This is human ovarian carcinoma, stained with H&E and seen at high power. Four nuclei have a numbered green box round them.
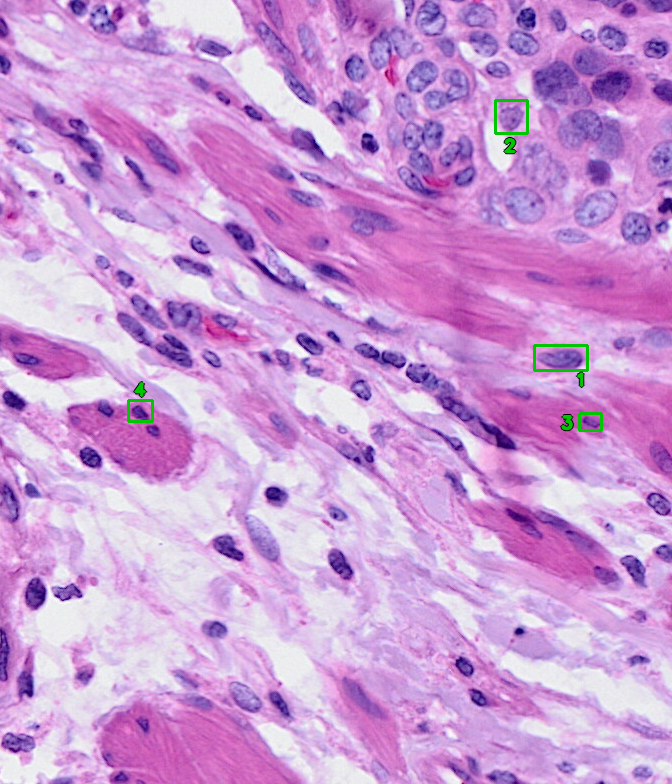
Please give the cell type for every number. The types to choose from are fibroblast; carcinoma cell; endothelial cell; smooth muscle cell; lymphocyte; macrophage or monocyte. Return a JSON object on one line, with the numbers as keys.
{"1": "smooth muscle cell", "2": "macrophage or monocyte", "3": "smooth muscle cell", "4": "smooth muscle cell"}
